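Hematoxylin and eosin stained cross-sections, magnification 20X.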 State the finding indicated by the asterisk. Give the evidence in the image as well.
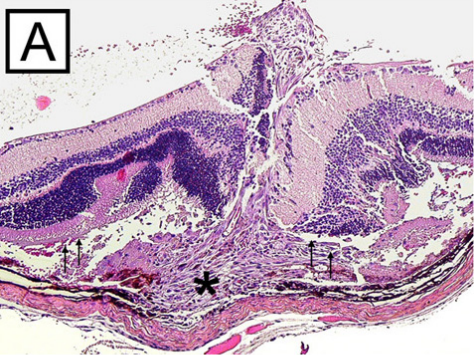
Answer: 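Focal damage of Bruch’s membrane and choriocapillaris. The thin layers beneath the retina are interrupted at the asterisk. Loose cellular tissue passes through the gap from the choroid toward the retina.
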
